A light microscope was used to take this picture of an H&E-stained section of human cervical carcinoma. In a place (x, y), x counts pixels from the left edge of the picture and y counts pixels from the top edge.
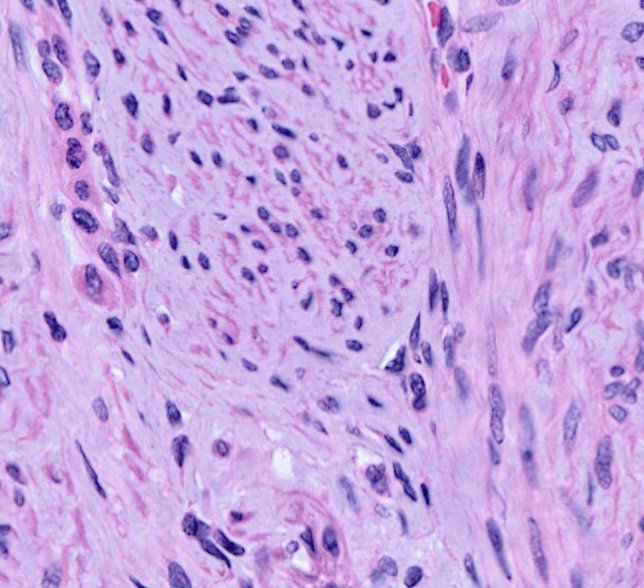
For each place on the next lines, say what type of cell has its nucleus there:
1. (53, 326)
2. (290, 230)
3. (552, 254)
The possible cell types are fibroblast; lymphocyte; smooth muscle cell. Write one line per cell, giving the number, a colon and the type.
1: lymphocyte
2: smooth muscle cell
3: smooth muscle cell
